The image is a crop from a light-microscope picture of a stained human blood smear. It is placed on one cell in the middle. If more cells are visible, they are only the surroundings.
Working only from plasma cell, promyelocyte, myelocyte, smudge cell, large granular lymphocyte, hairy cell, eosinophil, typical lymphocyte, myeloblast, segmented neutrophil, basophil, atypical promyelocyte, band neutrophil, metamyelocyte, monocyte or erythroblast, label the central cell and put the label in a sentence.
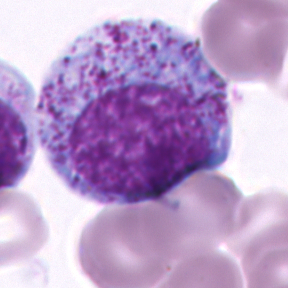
Among the cells in view, the one in the middle is a promyelocyte.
